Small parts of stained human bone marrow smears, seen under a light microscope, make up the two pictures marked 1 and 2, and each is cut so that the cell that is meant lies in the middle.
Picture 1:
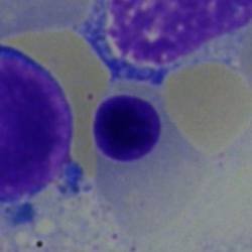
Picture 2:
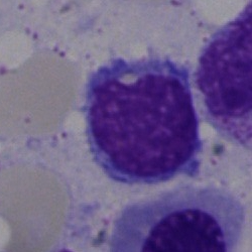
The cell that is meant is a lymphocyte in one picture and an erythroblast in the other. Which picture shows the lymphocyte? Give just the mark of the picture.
2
